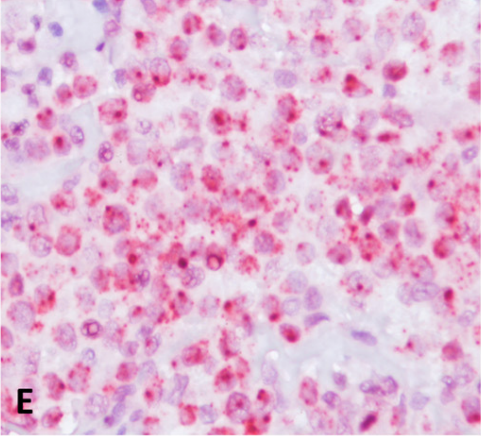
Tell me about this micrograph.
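A dense sheet of round neoplastic cells with round to oval, blue-purple nuclei and moderate pale cytoplasm fills the field, with little stroma between them. Dots also appear in the spaces among the cells.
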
